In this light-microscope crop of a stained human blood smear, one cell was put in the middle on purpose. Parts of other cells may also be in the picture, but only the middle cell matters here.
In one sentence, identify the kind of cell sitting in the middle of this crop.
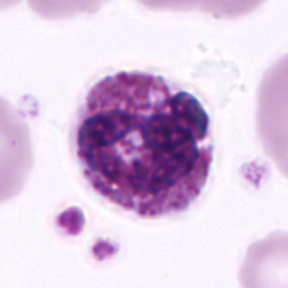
The cell of interest, in the center, is an eosinophil.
